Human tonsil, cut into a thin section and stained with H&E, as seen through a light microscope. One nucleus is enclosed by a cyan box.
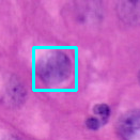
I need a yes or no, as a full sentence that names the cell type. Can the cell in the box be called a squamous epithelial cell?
Yes, the classification of the cell in the box as a squamous epithelial cell is accurate.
